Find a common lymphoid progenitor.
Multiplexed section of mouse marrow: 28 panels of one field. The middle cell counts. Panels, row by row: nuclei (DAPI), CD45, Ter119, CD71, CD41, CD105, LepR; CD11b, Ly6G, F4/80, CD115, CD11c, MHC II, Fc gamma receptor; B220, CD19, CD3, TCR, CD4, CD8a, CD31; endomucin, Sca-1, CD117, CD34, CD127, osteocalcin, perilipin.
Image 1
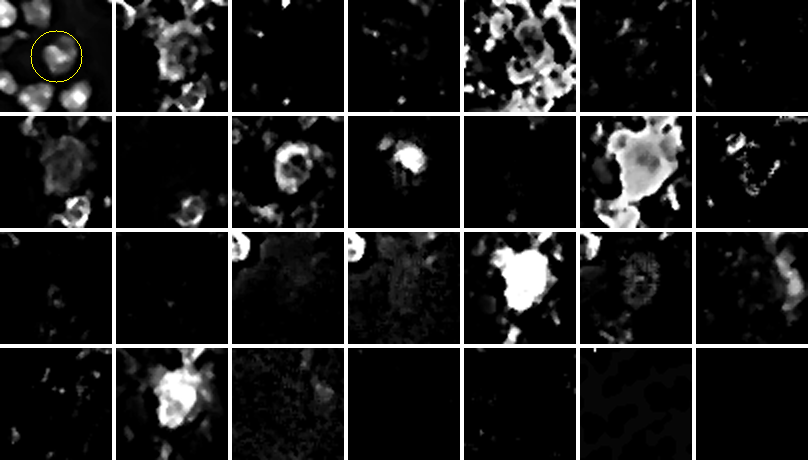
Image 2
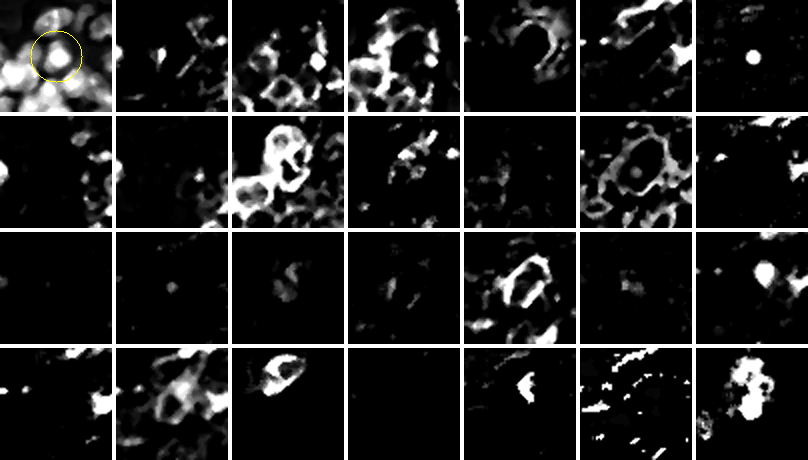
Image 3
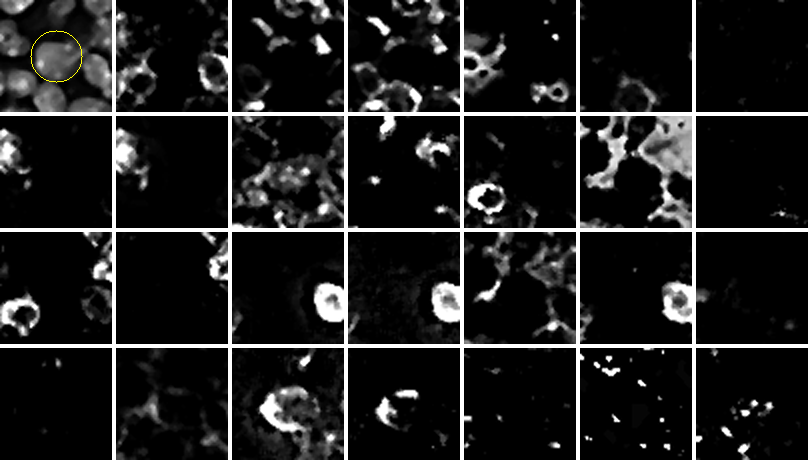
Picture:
2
